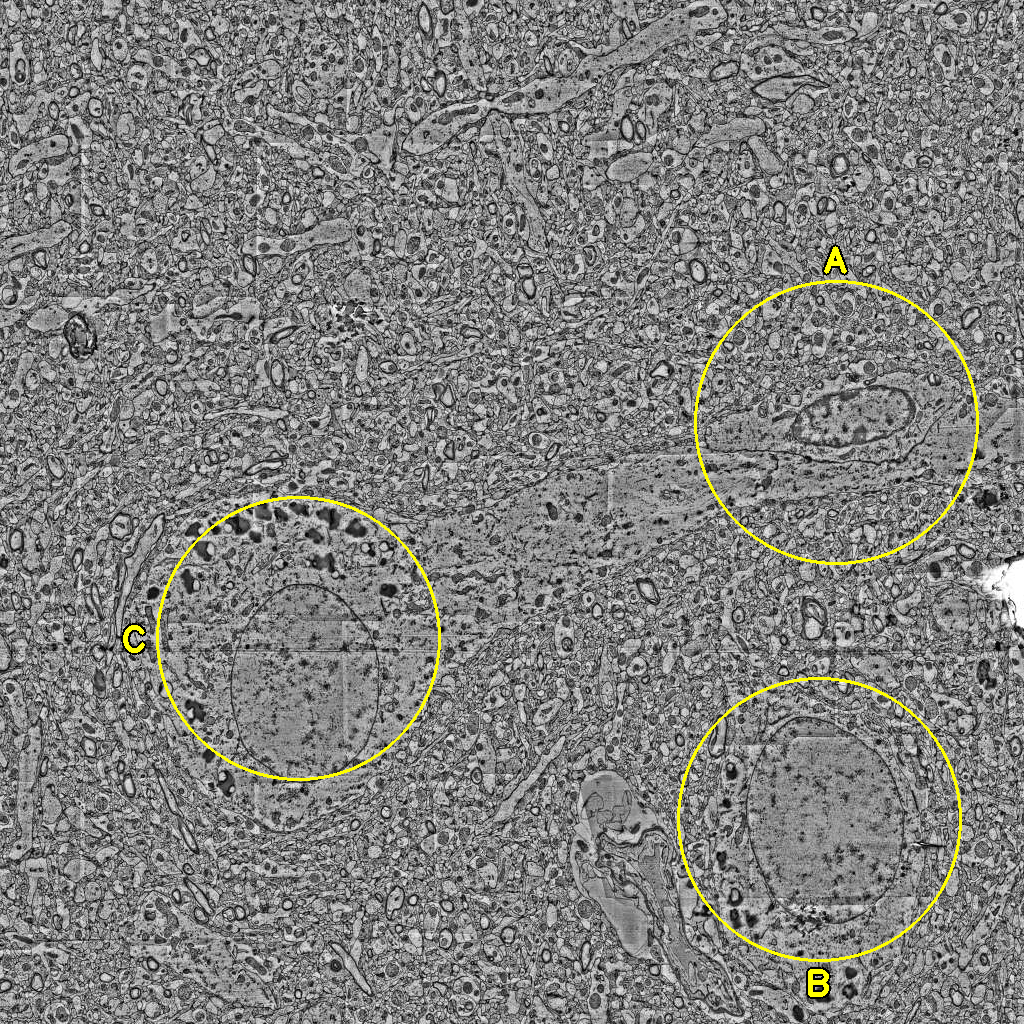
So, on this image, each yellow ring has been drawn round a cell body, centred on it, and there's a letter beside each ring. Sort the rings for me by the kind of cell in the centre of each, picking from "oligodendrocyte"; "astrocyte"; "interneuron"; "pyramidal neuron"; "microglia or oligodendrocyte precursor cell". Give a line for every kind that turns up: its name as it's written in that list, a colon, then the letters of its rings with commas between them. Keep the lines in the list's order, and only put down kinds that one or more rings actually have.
pyramidal neuron: B, C
microglia or oligodendrocyte precursor cell: A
